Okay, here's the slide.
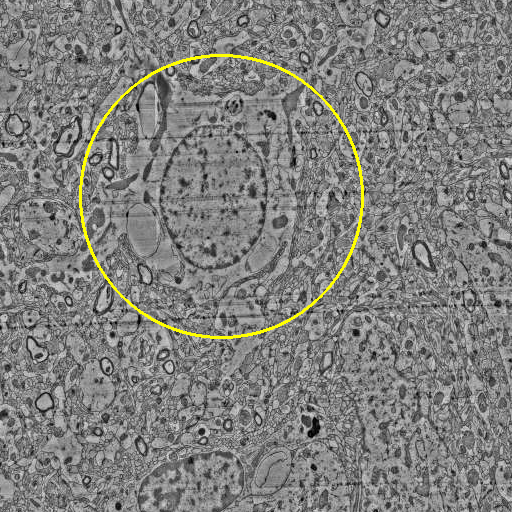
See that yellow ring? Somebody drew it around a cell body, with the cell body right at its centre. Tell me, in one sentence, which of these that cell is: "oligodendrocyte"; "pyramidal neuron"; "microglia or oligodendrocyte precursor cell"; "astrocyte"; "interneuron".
The cell in the middle of the ring is an astrocyte.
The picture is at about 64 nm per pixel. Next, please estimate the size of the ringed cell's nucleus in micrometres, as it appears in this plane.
In this plane, the nucleus of the cell at the centre of the ring measures about 9 by 7 micrometres.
